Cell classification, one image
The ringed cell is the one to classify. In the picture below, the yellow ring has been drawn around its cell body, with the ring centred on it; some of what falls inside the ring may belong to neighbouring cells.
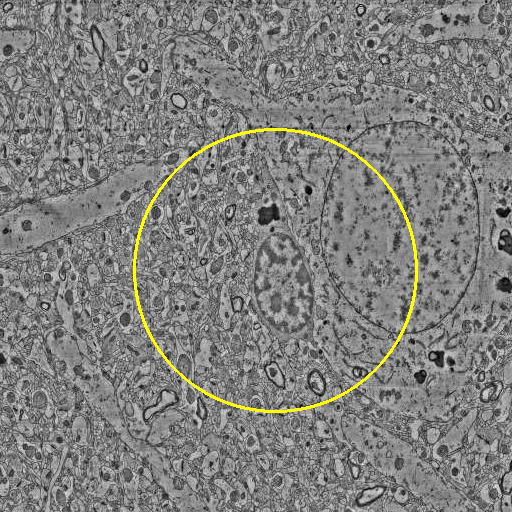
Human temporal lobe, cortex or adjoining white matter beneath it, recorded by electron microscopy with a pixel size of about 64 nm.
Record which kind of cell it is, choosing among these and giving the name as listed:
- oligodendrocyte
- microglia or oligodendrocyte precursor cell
oligodendrocyte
